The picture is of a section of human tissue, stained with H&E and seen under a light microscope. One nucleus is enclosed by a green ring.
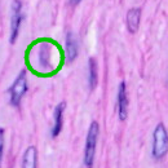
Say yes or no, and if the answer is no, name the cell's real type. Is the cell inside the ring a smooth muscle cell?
No, it is a fibroblast.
